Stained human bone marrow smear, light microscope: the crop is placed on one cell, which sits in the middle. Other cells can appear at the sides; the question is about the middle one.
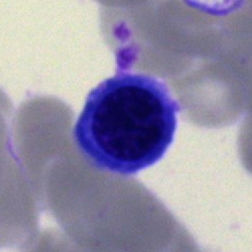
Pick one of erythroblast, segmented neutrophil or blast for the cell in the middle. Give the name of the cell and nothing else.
erythroblast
